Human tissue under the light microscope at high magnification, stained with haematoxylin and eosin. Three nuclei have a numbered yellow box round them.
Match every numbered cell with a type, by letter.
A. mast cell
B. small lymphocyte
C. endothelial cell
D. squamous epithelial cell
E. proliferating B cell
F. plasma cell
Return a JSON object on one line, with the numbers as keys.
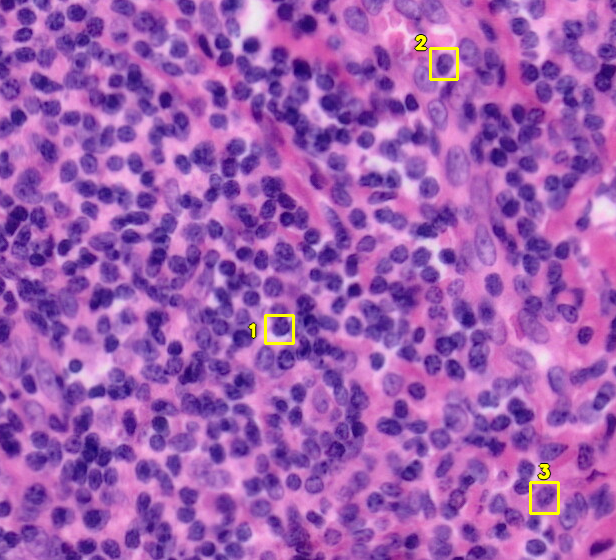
{"1": "B", "2": "C", "3": "F"}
